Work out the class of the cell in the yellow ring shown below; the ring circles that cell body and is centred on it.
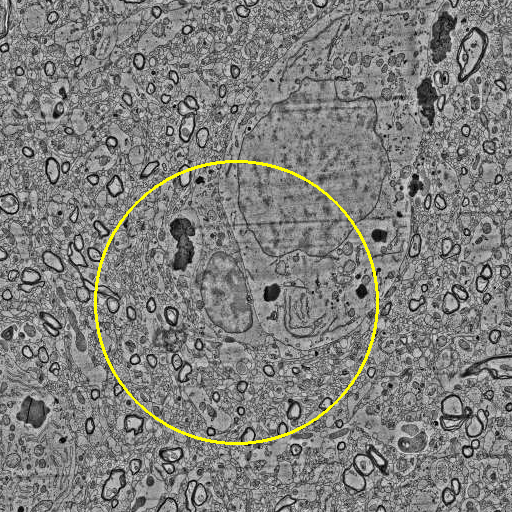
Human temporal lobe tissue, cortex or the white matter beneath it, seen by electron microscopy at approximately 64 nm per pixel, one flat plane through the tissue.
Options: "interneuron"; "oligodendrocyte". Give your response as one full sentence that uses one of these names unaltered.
The body ringed in yellow, right at the ring's centre, is that of an oligodendrocyte.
